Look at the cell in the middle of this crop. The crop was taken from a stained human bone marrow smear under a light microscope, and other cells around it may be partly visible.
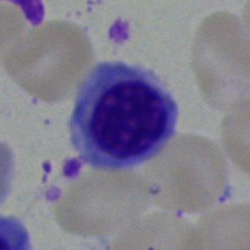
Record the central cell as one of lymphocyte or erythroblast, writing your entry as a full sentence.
The central cell, amid any neighbouring cells, is an erythroblast.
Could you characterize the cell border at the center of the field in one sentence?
Its outline is smooth, with no projections anywhere along the edge.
